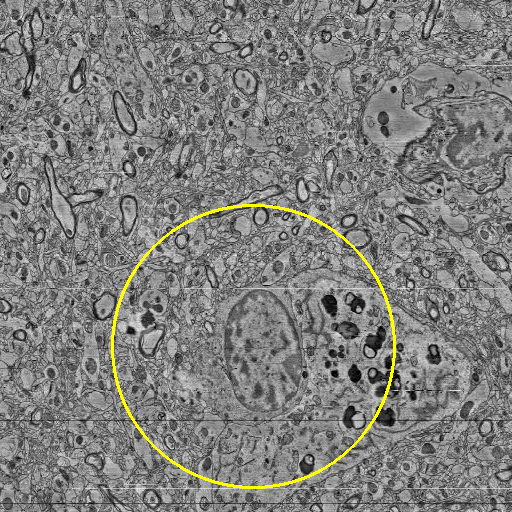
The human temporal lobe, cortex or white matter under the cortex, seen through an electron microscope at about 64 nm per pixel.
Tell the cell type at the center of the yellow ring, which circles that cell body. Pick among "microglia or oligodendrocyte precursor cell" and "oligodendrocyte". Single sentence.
The ring is centered on the body of an oligodendrocyte.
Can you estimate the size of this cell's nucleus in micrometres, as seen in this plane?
Roughly 8 micrometres long and 5 micrometres wide; in this plane the nucleus is clearly longer than it is wide.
